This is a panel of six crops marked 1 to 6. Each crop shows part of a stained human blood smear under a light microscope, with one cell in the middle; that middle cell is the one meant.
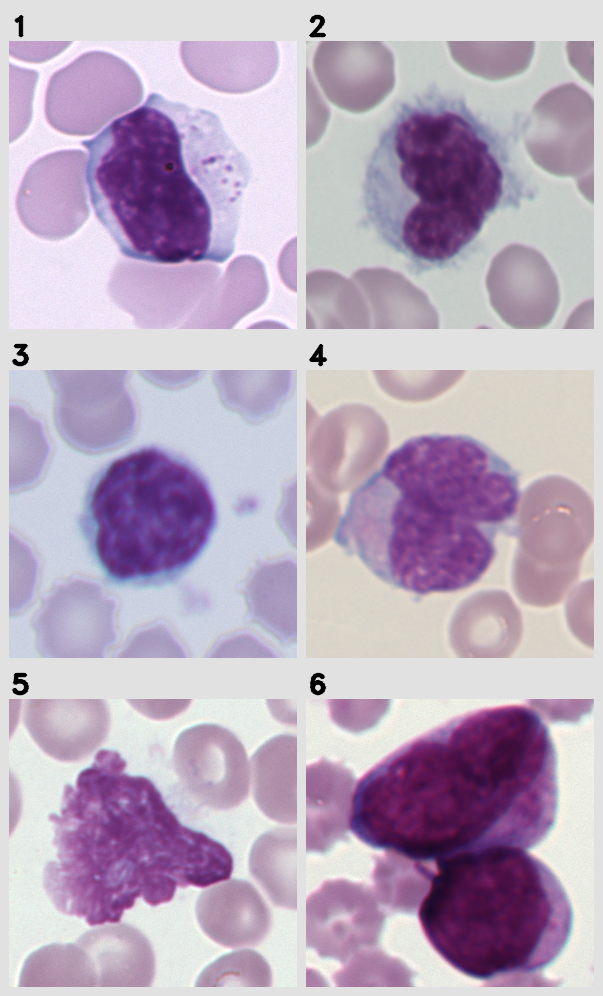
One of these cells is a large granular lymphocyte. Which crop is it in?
1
